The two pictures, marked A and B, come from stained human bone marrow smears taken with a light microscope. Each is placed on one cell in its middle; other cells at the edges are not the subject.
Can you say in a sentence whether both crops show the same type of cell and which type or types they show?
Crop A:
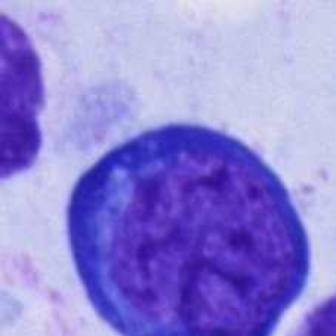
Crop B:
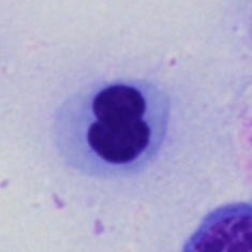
Yes, both of the crops in this pair show normoblasts, one cell in each crop.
